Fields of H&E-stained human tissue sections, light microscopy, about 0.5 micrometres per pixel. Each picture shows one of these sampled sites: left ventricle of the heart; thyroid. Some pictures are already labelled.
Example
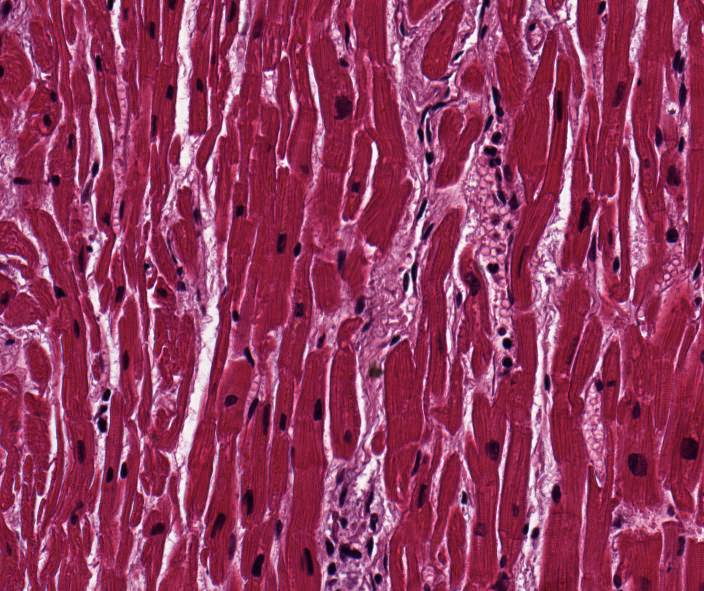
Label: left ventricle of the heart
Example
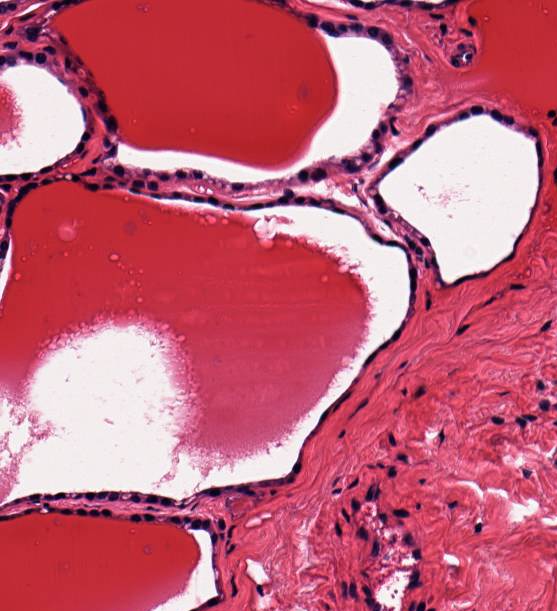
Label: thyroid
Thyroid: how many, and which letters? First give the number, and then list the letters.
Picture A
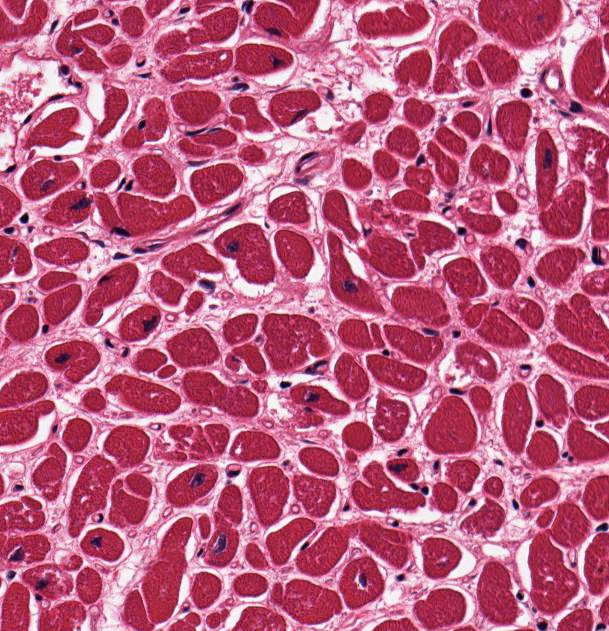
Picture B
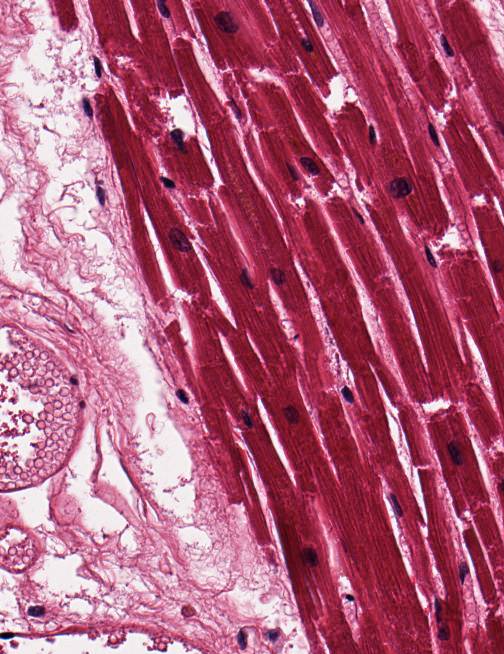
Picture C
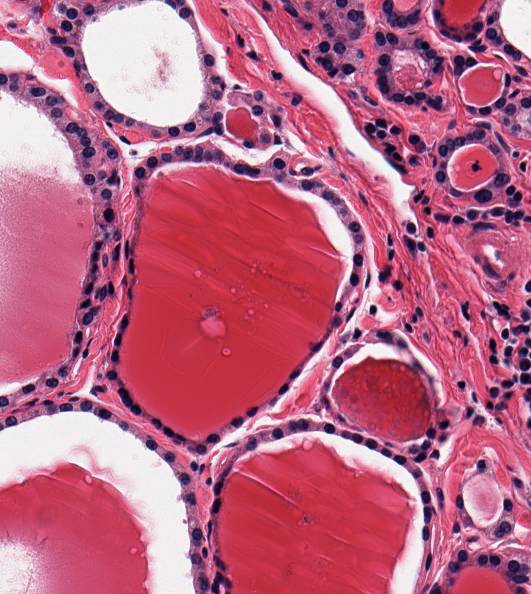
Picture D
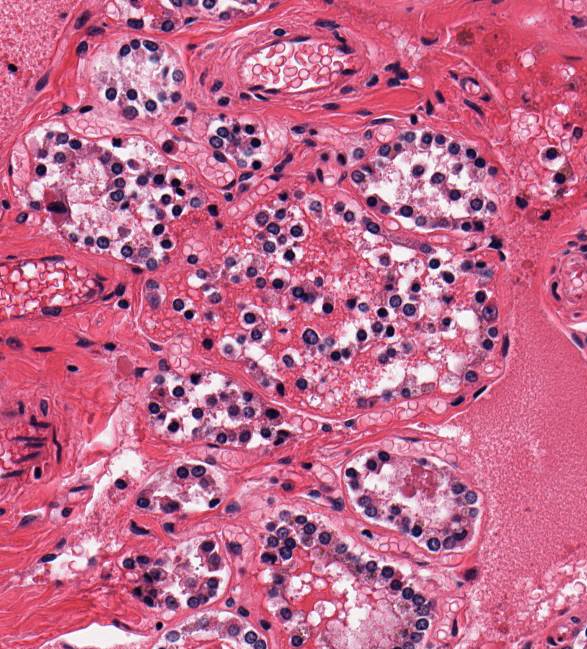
2: C, D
